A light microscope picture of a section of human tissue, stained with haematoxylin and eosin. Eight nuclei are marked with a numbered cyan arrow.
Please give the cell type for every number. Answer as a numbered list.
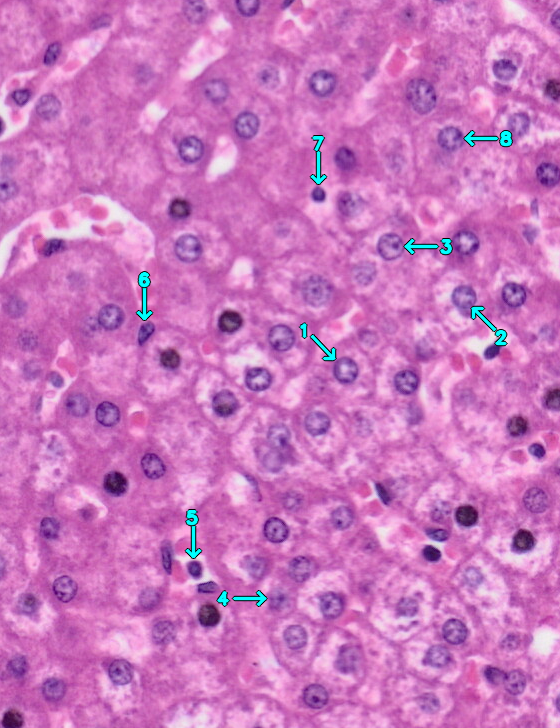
1. hepatocyte
2. hepatocyte
3. hepatocyte
4. hepatocyte
5. lymphocyte
6. fibroblast or stellate cell
7. lymphocyte
8. hepatocyte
